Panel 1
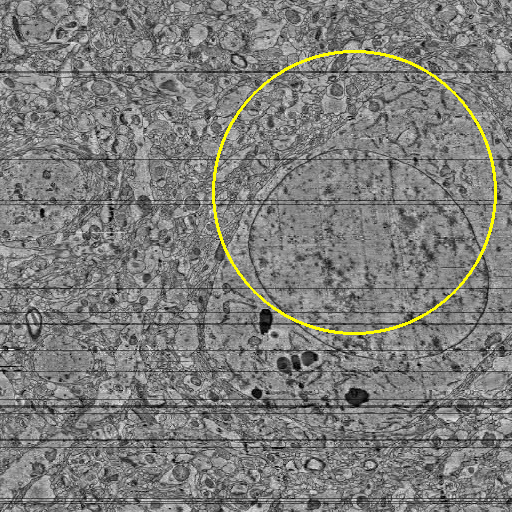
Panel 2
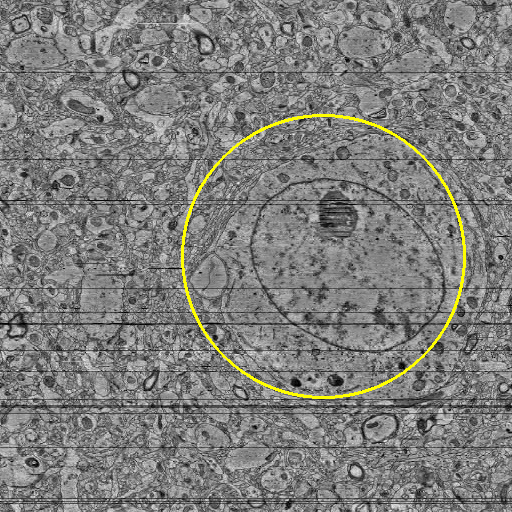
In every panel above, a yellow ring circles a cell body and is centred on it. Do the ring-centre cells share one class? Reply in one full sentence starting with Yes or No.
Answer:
Yes, the two cells at the ring centres in the panels belong to one class.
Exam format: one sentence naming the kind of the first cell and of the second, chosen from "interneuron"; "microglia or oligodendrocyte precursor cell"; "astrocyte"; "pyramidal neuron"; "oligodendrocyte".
In each picture the ringed cell is a pyramidal neuron.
